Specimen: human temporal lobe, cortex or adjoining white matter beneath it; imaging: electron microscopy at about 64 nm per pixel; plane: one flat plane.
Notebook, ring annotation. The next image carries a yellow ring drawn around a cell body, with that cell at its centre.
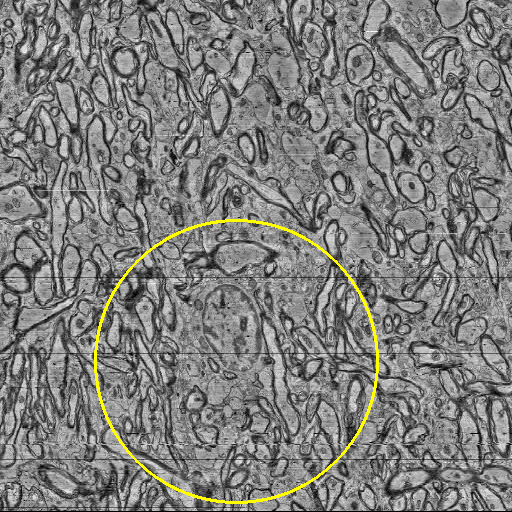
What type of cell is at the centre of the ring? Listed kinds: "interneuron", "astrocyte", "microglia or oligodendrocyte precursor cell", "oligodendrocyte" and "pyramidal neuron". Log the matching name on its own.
oligodendrocyte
